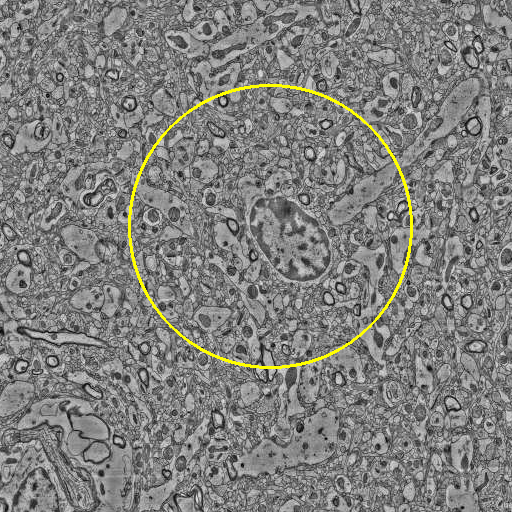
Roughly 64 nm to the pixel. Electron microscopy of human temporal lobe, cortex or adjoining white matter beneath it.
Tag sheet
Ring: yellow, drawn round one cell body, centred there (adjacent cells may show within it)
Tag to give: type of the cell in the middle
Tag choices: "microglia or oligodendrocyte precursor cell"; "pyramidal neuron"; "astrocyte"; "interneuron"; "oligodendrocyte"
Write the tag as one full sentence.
I tag the cell centred in the yellow ring as a microglial cell or oligodendrocyte precursor cell in this picture.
